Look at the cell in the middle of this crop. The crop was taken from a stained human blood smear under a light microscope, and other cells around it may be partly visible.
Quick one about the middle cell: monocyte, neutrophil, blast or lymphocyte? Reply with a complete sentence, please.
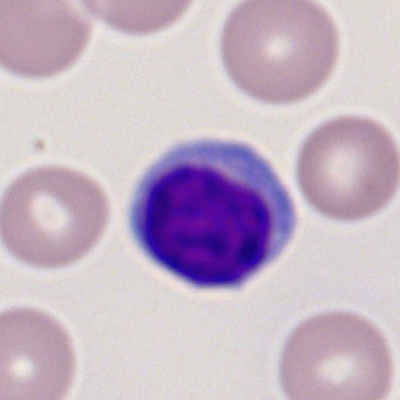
At the center of the crop sits a lymphocyte.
